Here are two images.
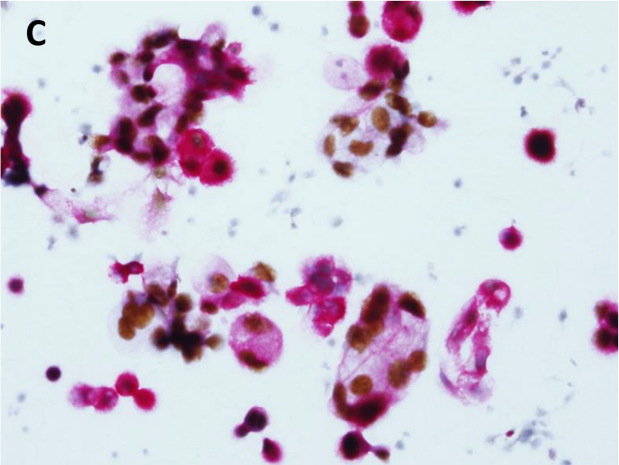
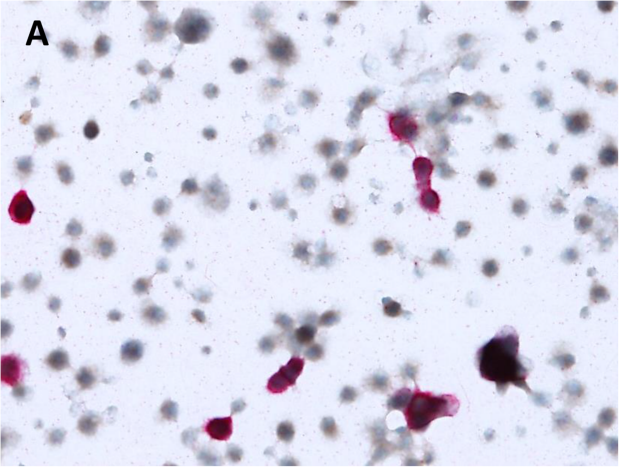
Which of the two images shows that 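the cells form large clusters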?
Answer: The first image.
